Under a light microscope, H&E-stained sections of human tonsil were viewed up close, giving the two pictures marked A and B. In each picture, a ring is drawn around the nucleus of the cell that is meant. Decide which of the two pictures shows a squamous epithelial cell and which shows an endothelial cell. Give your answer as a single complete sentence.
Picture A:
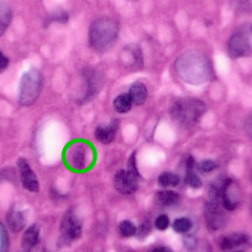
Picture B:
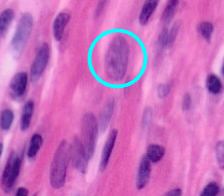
The cell in picture A is a squamous epithelial cell, and the one in picture B is an endothelial cell.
